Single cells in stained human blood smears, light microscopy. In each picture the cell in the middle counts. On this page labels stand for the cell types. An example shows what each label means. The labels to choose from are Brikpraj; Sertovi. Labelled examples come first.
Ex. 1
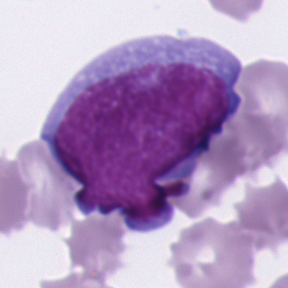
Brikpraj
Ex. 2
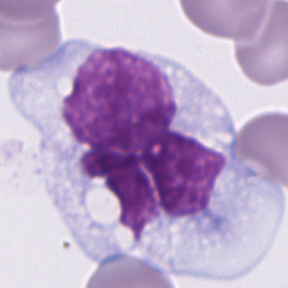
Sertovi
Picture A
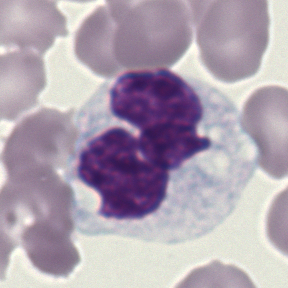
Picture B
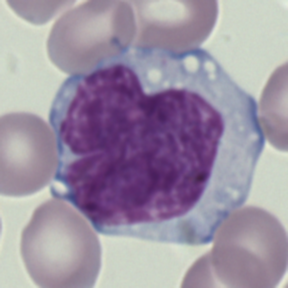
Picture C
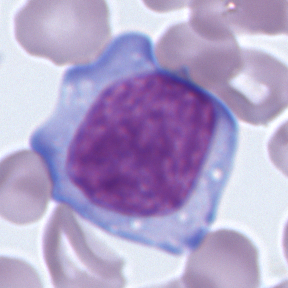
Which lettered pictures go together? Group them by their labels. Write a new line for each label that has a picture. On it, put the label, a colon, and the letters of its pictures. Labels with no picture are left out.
Brikpraj: B, C
Sertovi: A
